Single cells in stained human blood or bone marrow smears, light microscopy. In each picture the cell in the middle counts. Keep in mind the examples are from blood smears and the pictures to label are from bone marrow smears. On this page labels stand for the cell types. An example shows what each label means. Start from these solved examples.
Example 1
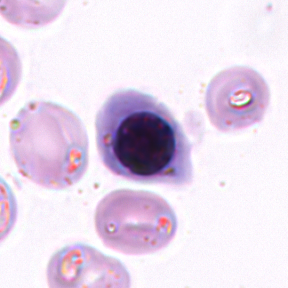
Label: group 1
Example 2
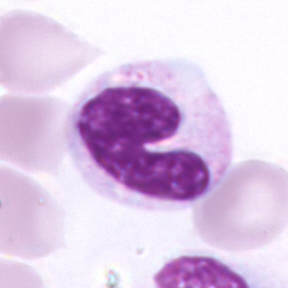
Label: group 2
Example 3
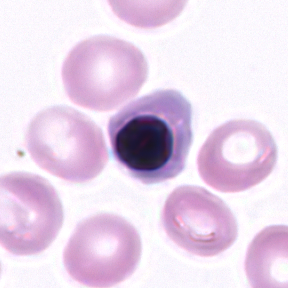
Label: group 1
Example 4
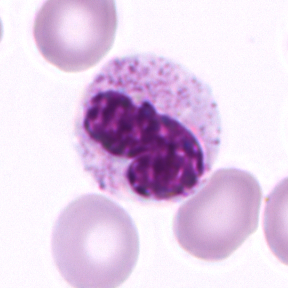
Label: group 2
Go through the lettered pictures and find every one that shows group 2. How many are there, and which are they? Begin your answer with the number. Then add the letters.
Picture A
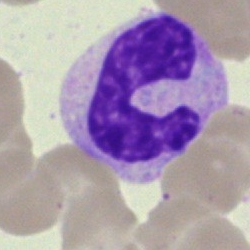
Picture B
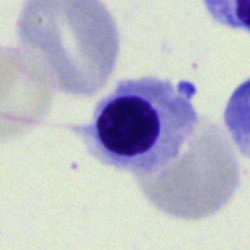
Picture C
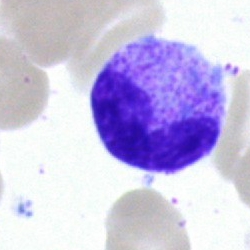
2: A, C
